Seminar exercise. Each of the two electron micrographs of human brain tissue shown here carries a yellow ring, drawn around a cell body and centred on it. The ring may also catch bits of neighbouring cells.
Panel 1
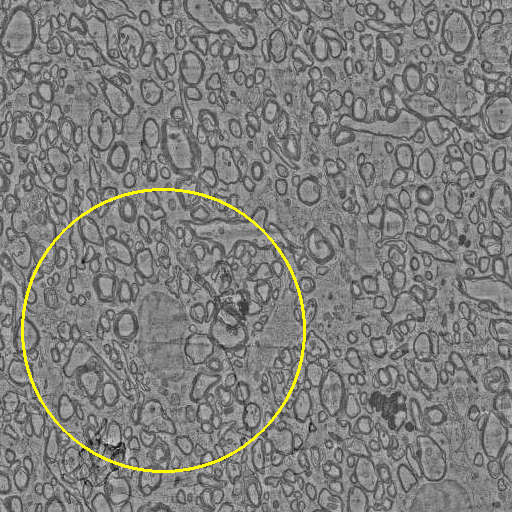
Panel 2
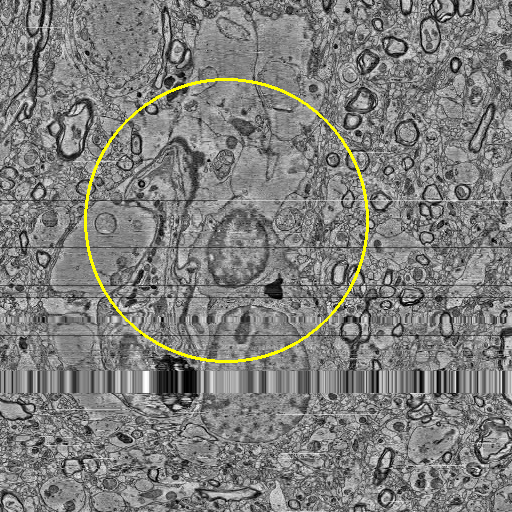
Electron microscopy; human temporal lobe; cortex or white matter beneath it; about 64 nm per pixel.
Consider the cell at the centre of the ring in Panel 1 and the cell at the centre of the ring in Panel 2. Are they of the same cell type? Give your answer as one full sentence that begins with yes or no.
Yes, both cells are of the same type.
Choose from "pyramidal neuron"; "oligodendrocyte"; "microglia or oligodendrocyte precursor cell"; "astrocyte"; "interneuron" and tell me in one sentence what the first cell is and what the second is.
Each of the two cells is an oligodendrocyte.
